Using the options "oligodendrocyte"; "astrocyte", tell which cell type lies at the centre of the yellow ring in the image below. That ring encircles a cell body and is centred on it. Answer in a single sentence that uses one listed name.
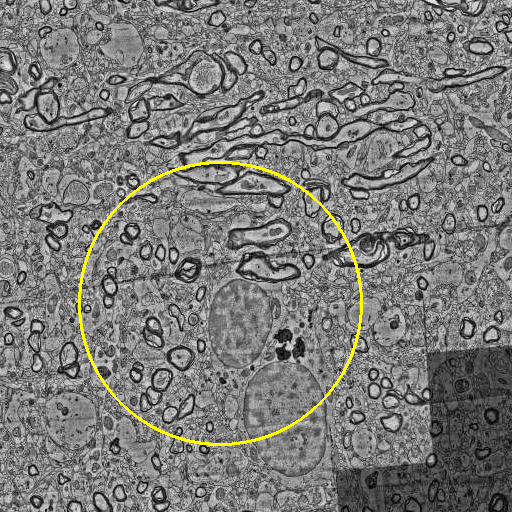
At the centre of the yellow ring lies the body of an oligodendrocyte.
